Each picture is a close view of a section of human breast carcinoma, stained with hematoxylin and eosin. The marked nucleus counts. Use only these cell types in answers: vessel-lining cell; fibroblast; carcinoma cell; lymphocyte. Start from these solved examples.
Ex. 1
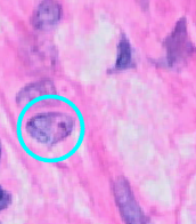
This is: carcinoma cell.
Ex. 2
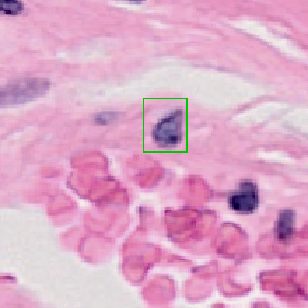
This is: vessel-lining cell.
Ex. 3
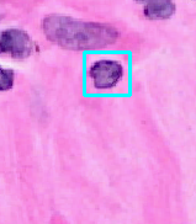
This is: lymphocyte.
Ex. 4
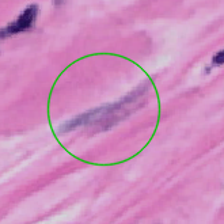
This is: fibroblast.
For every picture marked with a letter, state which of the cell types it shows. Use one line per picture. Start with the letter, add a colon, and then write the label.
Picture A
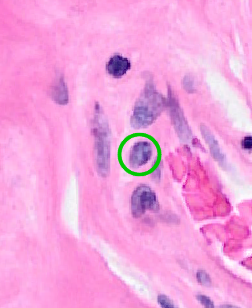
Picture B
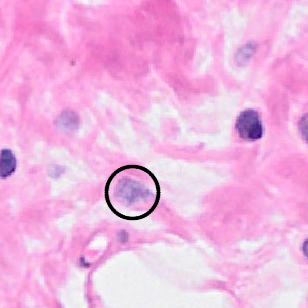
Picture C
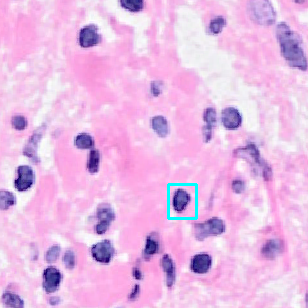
A: vessel-lining cell.
B: fibroblast.
C: lymphocyte.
